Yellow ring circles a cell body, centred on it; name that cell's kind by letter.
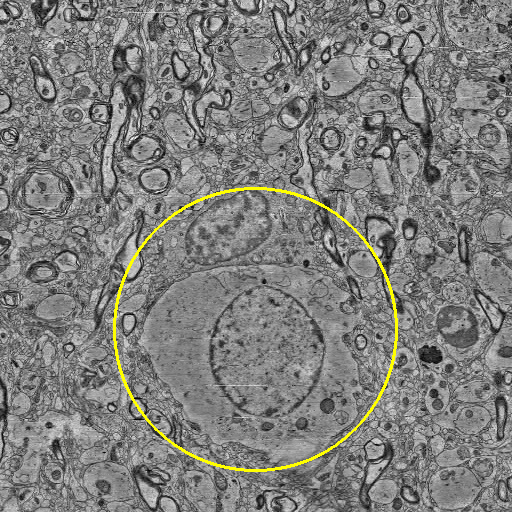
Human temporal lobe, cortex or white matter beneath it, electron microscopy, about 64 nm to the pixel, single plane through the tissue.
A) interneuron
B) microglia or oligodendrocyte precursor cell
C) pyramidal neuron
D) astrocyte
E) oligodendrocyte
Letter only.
D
